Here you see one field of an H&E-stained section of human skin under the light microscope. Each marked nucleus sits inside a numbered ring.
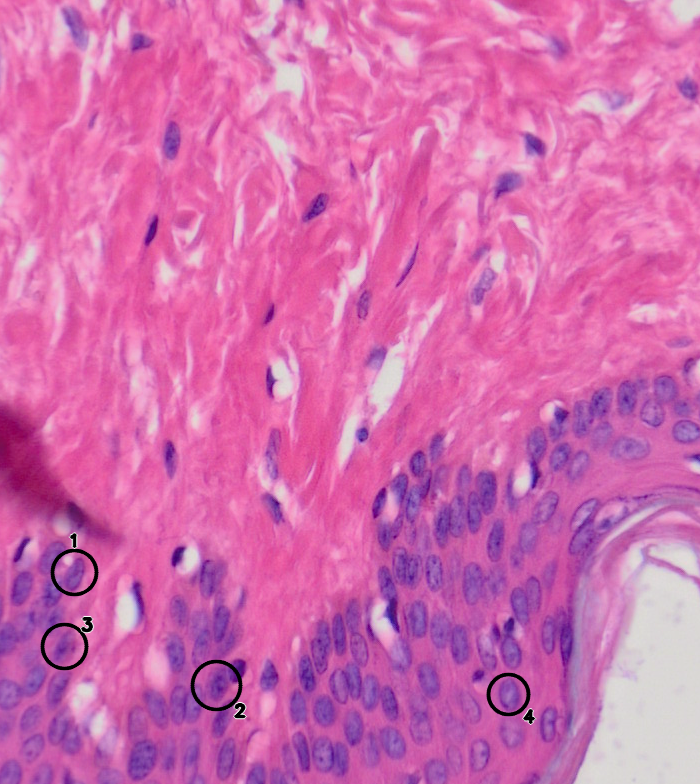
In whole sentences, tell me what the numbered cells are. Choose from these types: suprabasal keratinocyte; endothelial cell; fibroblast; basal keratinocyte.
Cells 1, 2 and 3 are basal keratinocytes. Cell 4 is a suprabasal keratinocyte.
